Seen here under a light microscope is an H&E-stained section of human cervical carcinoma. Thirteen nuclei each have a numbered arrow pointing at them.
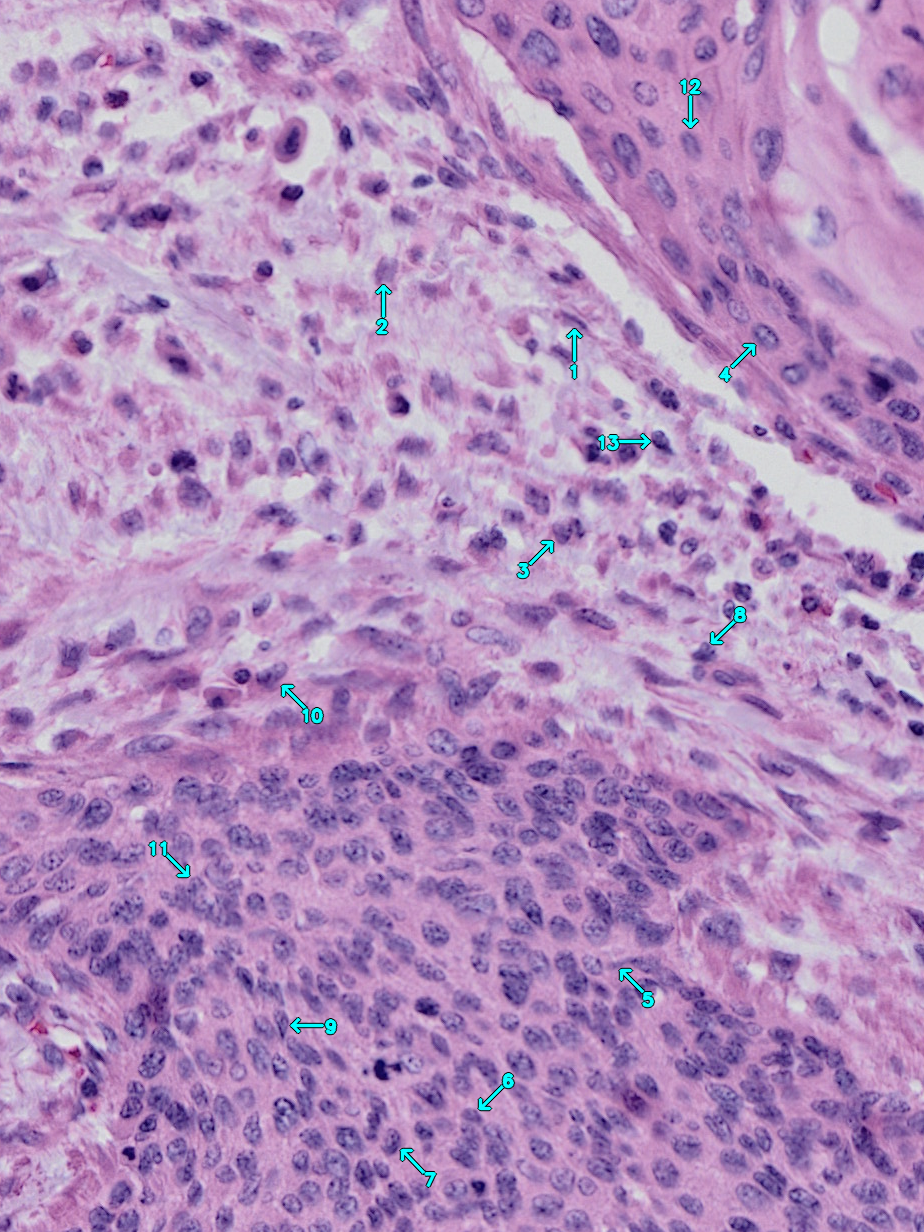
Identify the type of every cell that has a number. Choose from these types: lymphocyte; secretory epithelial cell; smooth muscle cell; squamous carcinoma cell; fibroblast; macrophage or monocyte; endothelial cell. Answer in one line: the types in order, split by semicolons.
fibroblast; fibroblast; macrophage or monocyte; squamous carcinoma cell; squamous carcinoma cell; squamous carcinoma cell; squamous carcinoma cell; lymphocyte; squamous carcinoma cell; macrophage or monocyte; squamous carcinoma cell; squamous carcinoma cell; lymphocyte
